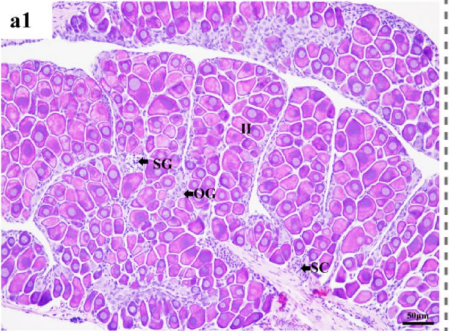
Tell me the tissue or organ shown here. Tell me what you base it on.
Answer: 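Gonad. Folded lamellae packed with large rounded cells with pink-purple cytoplasm and large pale central nuclei. Thin pale connective septa separate the lamellae.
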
